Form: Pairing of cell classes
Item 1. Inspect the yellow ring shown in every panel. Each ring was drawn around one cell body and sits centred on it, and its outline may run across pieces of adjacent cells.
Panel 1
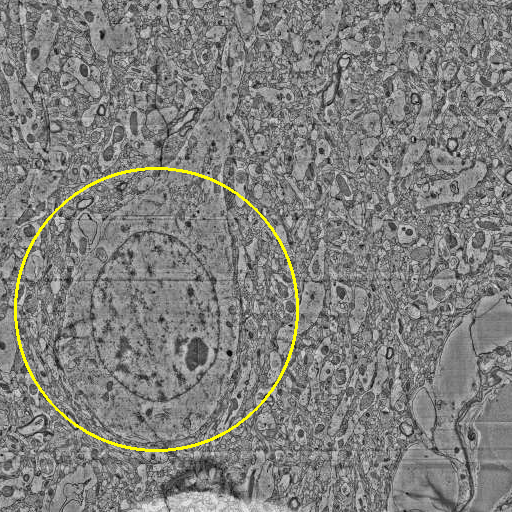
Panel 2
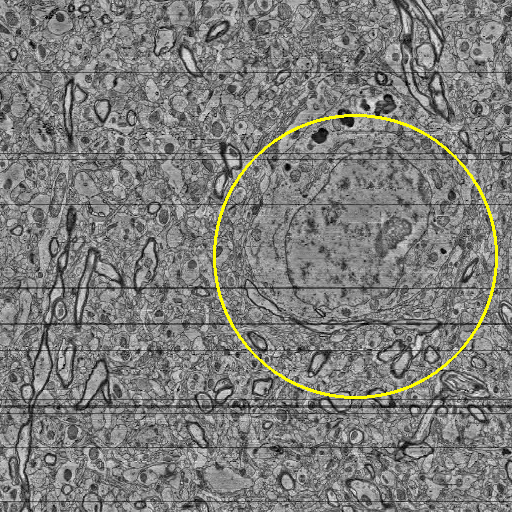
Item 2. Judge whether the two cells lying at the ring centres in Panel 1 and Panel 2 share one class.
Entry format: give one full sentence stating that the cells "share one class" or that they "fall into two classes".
The cells at the ring centres in Panel 1 and Panel 2 share one class.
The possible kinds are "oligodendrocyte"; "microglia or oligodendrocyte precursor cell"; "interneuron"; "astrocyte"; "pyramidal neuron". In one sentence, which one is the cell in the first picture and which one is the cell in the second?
Each of the ringed cells, first and second, is a pyramidal neuron.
